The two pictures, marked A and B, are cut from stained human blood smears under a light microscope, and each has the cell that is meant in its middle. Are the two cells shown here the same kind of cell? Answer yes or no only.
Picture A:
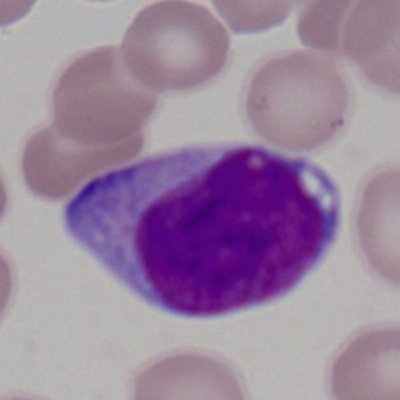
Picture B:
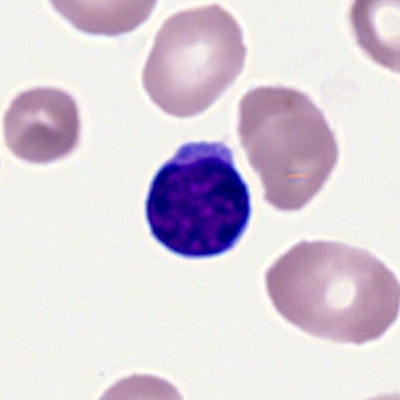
no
